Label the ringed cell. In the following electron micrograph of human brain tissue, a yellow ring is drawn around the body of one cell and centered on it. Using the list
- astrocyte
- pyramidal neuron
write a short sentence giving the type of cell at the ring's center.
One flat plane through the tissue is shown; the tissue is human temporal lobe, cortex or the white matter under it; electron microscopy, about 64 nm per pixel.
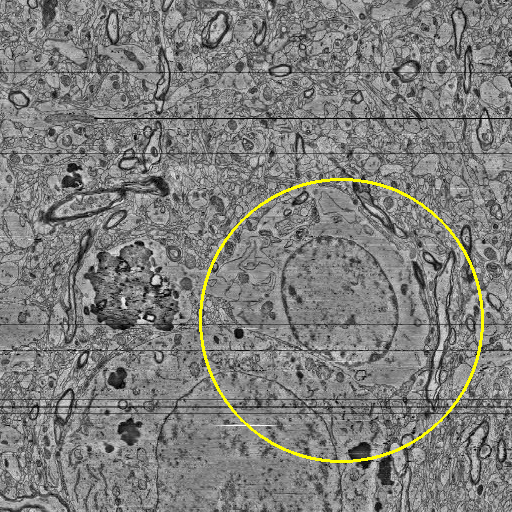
The cell body at the ring's center is that of an astrocyte.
